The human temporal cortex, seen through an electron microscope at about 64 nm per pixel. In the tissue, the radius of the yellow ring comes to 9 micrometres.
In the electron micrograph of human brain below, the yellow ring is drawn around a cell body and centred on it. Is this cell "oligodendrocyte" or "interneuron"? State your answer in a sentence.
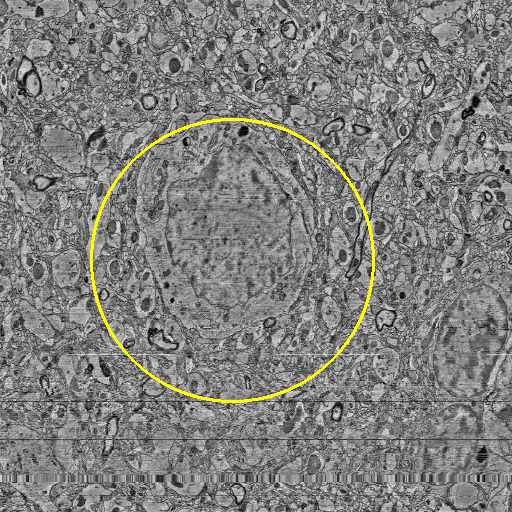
The cell in the middle of the ring is an interneuron.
